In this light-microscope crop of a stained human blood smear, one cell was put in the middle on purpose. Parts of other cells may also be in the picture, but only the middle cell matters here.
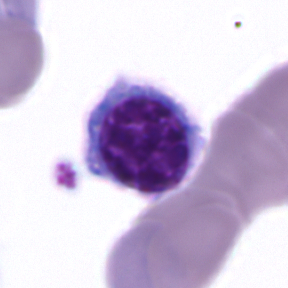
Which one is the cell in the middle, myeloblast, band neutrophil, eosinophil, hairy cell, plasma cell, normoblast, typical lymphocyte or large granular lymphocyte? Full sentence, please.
The identification for the central cell is a plasma cell.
